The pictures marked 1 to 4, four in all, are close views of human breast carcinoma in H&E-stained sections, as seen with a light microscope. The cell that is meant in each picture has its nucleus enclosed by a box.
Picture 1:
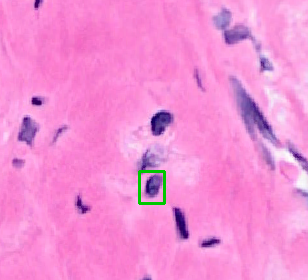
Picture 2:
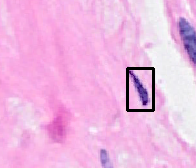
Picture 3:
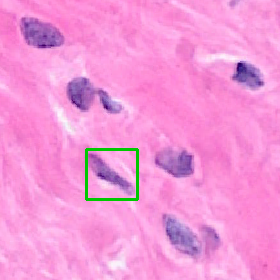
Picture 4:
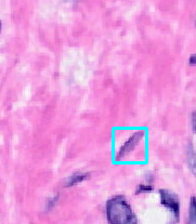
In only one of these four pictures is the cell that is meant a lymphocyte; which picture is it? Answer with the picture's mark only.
1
